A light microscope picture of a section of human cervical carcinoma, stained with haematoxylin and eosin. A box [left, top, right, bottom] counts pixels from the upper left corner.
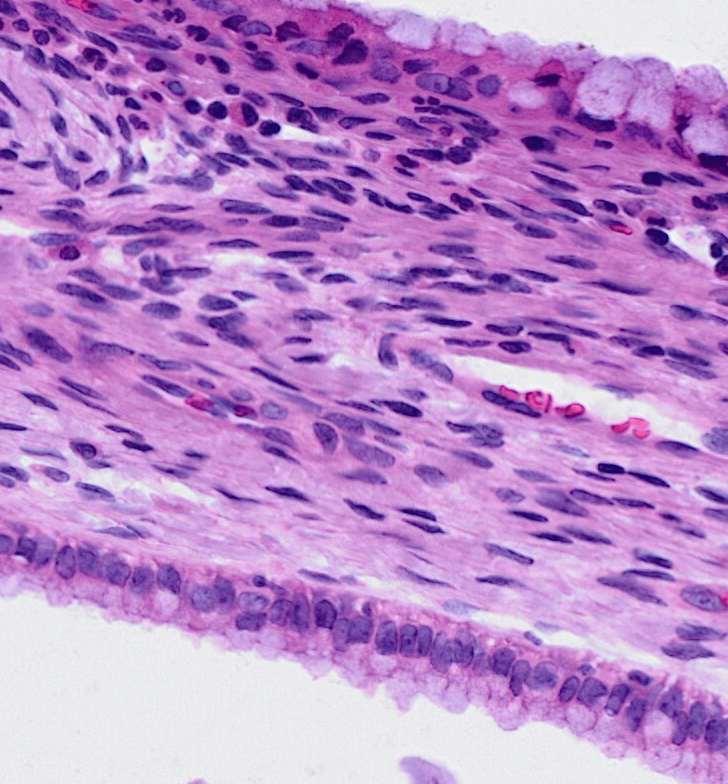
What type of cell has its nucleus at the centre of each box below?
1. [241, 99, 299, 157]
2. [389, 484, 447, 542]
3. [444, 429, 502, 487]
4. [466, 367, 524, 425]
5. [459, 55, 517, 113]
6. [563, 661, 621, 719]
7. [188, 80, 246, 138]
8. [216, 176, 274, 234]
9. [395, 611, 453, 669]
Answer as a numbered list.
1. lymphocyte
2. fibroblast
3. fibroblast
4. endothelial cell
5. secretory epithelial cell
6. secretory epithelial cell
7. lymphocyte
8. fibroblast
9. secretory epithelial cell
